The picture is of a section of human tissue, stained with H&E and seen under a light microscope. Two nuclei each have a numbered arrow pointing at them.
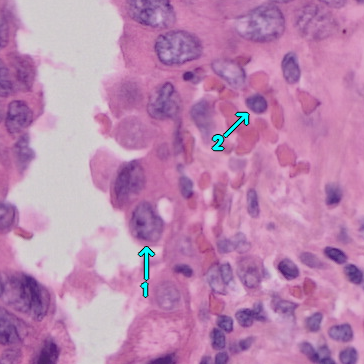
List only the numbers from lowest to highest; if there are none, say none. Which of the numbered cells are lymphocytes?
2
